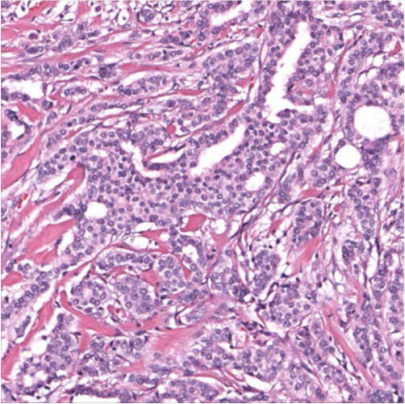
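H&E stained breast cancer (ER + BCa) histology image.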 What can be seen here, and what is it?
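Densely packed tumour cells form sheets, cords and irregular clusters between bands of bright pink collagen that run diagonally across the field. The tumour cells are small to medium sized, with round, dark purple nuclei and scant pale pink cytoplasm, crowded closely together. Thin elongated nuclei lie along the collagen bands. Scattered empty white spaces, some round and some slit-like, interrupt the tissue, including a larger clear space near the top and another at the right edge.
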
